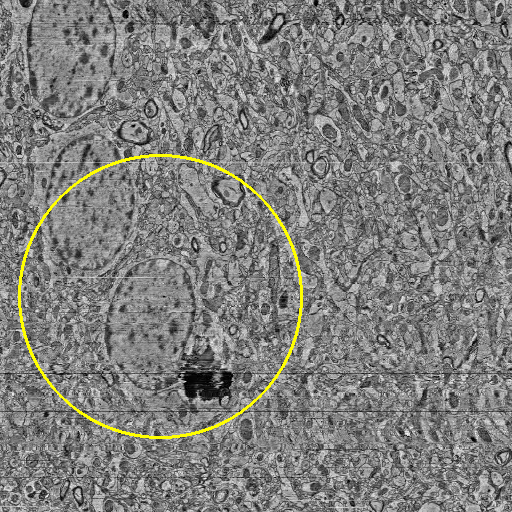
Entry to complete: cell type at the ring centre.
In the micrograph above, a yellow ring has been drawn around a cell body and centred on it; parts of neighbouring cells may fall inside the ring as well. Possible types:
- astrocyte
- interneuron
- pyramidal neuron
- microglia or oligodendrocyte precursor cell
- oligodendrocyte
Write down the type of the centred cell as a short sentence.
The ring is centred on an astrocyte.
